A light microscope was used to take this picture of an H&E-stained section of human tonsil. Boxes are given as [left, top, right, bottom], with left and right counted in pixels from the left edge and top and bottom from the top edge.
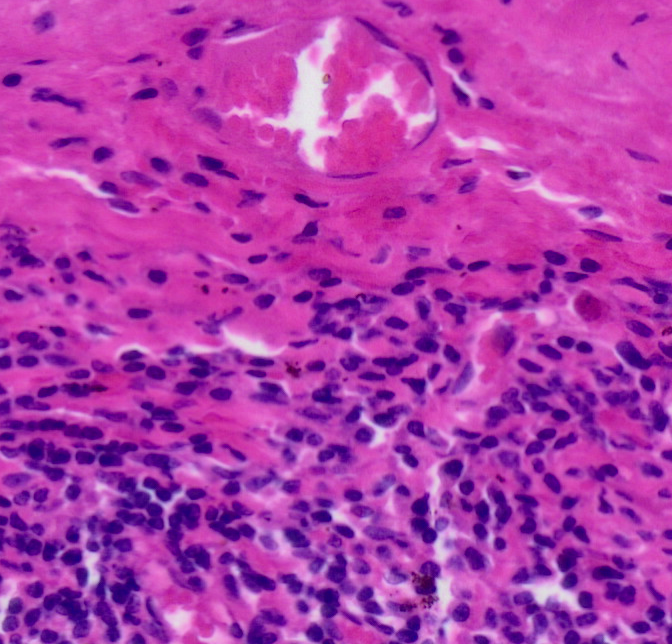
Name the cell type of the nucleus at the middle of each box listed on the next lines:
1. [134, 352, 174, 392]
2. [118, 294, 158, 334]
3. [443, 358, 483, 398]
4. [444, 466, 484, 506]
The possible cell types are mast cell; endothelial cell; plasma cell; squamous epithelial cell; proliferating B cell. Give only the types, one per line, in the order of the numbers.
plasma cell
mast cell
endothelial cell
plasma cell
